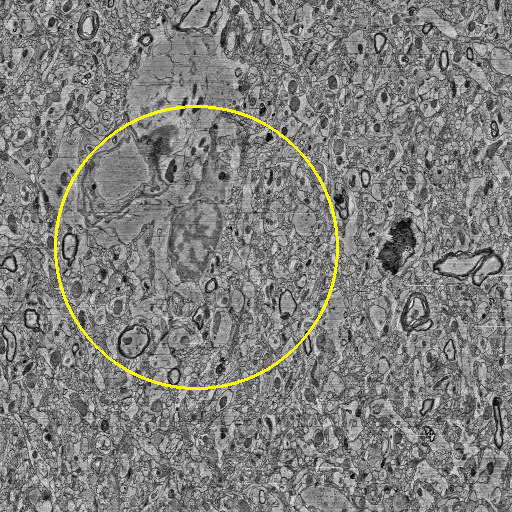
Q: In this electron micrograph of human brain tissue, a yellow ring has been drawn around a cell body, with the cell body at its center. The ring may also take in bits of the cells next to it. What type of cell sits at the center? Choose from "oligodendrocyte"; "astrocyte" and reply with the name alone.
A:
oligodendrocyte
